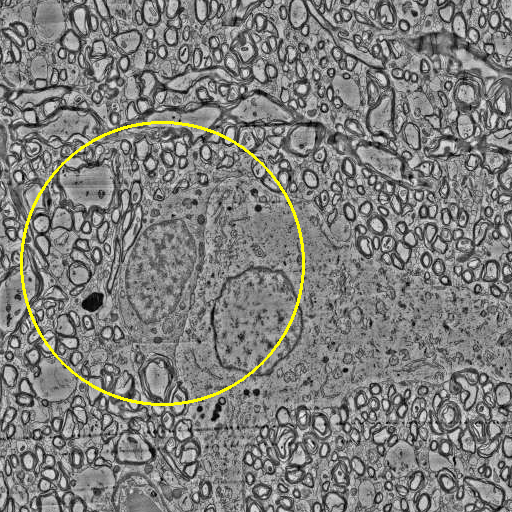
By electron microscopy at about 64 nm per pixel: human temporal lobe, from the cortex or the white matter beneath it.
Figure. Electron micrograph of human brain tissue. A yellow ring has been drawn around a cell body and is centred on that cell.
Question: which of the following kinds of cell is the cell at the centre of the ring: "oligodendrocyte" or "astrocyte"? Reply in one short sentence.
The cell at the centre of the ring is an oligodendrocyte.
